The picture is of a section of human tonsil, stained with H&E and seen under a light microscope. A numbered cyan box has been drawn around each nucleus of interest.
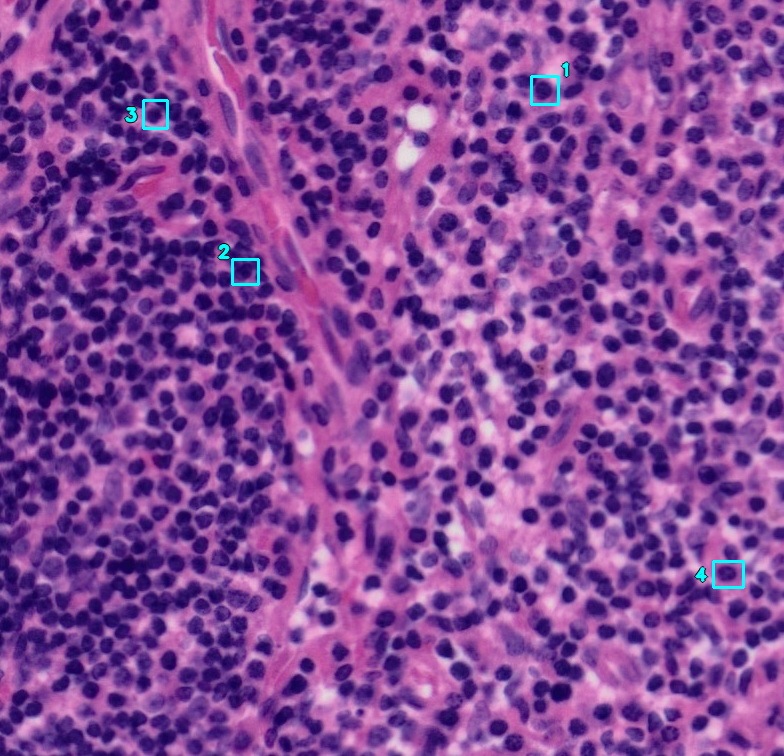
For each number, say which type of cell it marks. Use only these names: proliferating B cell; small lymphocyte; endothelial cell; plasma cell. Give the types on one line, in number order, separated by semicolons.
plasma cell; small lymphocyte; small lymphocyte; plasma cell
